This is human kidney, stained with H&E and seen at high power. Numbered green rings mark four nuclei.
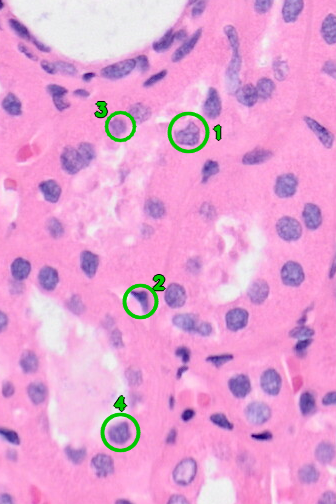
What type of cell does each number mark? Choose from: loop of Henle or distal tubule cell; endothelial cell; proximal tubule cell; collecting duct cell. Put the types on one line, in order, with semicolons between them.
loop of Henle or distal tubule cell; endothelial cell; loop of Henle or distal tubule cell; loop of Henle or distal tubule cell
